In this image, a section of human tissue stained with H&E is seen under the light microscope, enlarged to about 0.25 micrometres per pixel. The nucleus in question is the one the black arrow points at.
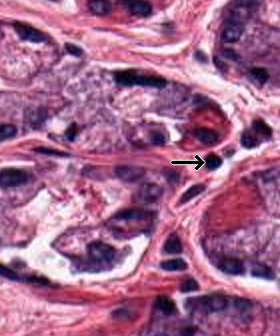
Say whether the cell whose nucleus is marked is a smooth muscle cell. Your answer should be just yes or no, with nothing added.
no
